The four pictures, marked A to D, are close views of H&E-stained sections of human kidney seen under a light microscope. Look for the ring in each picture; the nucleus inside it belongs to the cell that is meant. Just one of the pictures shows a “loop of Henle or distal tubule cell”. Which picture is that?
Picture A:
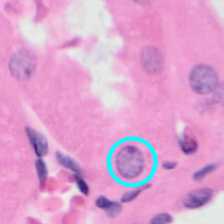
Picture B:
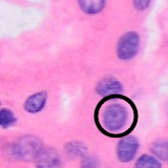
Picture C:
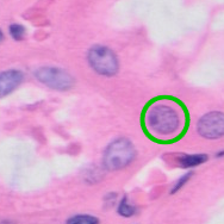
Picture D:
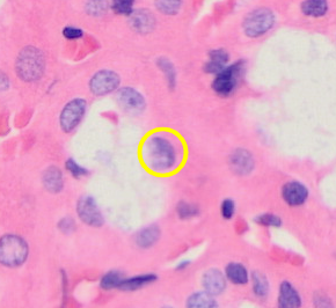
D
